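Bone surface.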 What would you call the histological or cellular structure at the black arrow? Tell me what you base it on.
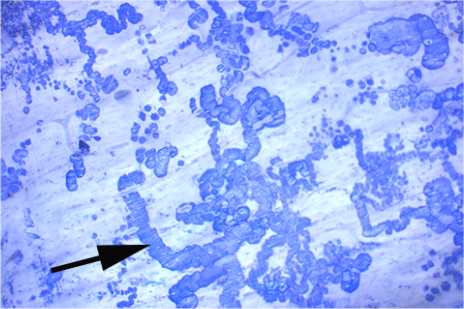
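Resorption pits. Dark blue, rounded, scalloped cavities on a paler bone surface. The cavities join into long winding trails and chains. Many such cavities are scattered over the surface.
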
